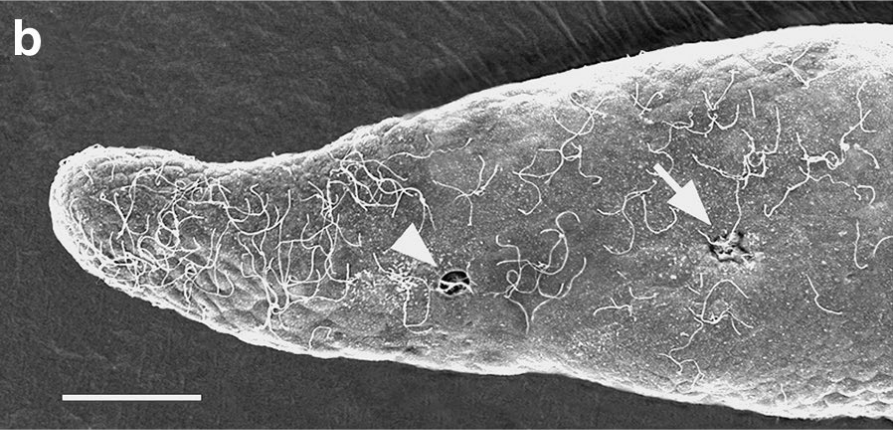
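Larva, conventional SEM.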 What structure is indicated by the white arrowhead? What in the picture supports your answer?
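Preoral ciliated pit. The arrowhead points to a small round pit in the surface. The pit lies in front of the opening marked by the arrow, near the tapering front end.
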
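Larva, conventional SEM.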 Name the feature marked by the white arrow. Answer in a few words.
open mouth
